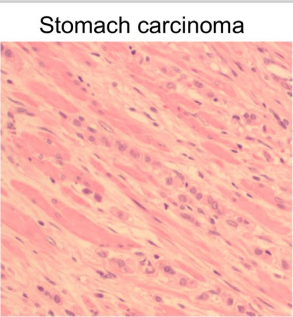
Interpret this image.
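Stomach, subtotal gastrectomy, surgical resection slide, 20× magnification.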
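The tumour cells are small to medium, with round to oval nuclei and scant pale cytoplasm, and they do not form glands or cohesive nests. They spread singly in a discohesive pattern along the muscle fibres, which have elongated spindle nuclei. The overall appearance is of diffusely permeating cells separating the muscle layer.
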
